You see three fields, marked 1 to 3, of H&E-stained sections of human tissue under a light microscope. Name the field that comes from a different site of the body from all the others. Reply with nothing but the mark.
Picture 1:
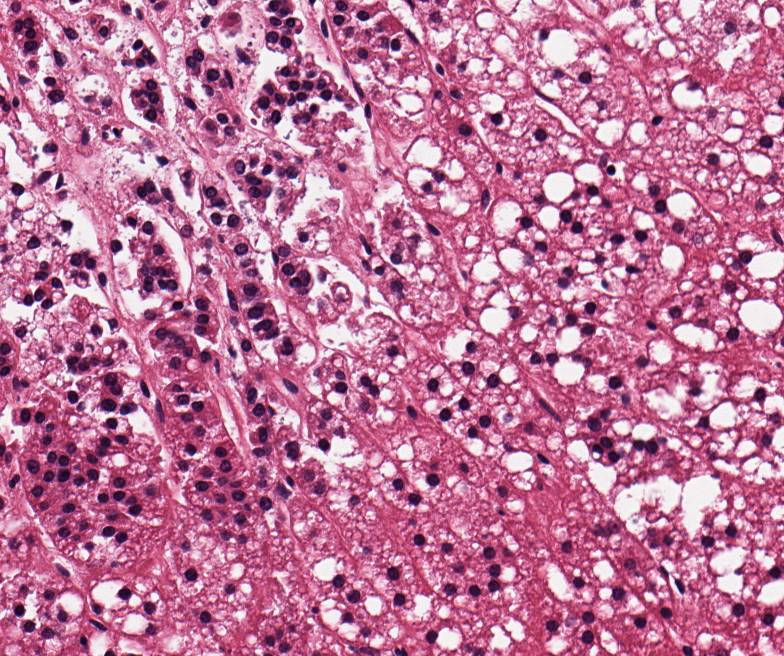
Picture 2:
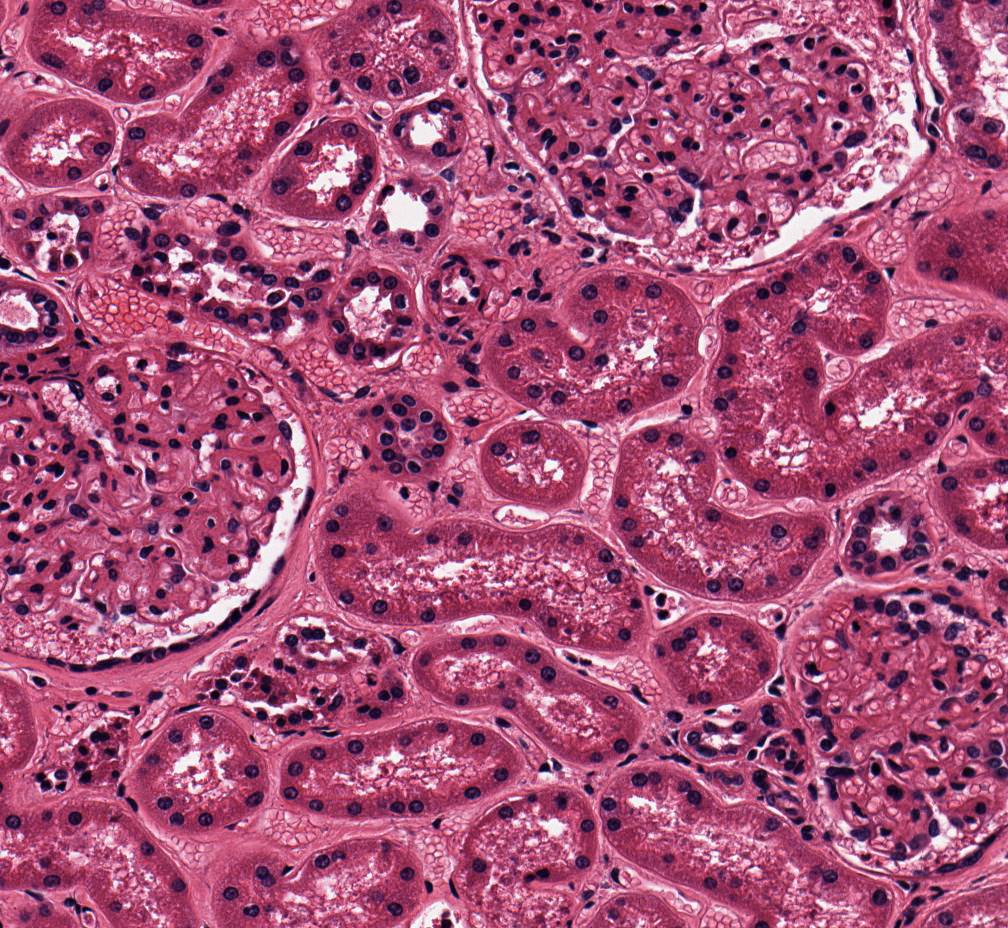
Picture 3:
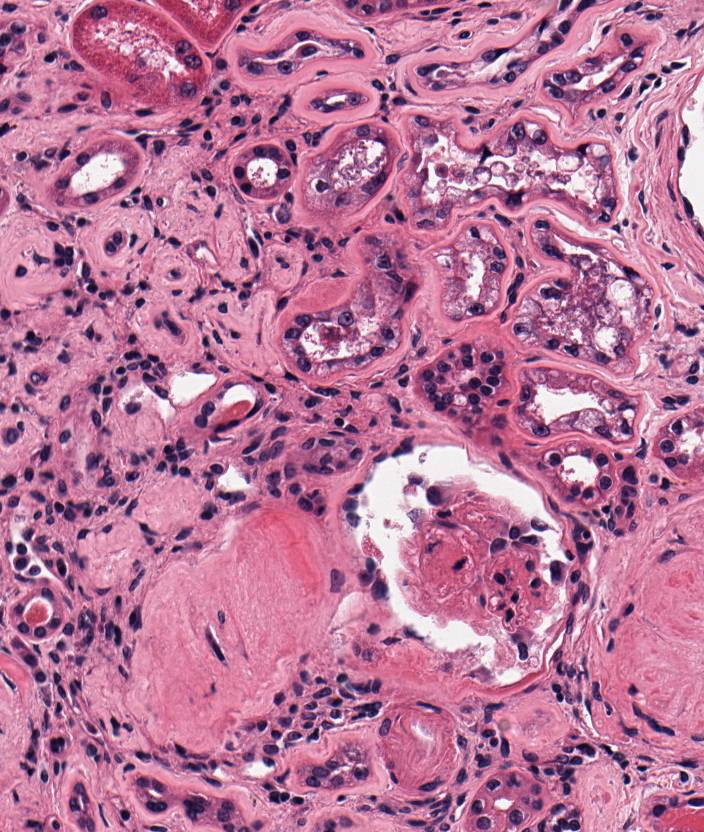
1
